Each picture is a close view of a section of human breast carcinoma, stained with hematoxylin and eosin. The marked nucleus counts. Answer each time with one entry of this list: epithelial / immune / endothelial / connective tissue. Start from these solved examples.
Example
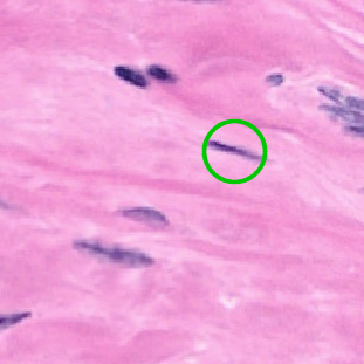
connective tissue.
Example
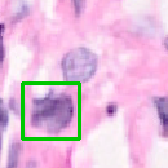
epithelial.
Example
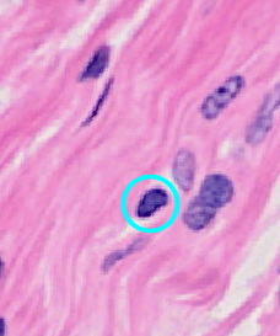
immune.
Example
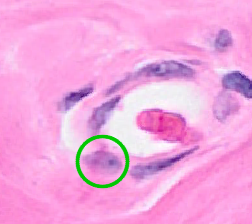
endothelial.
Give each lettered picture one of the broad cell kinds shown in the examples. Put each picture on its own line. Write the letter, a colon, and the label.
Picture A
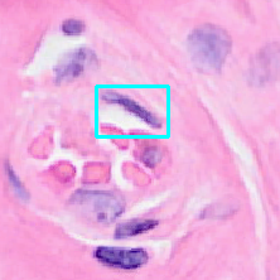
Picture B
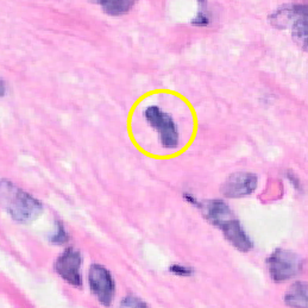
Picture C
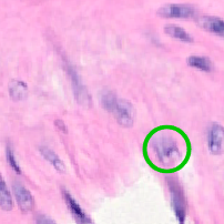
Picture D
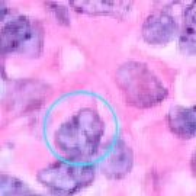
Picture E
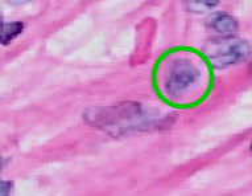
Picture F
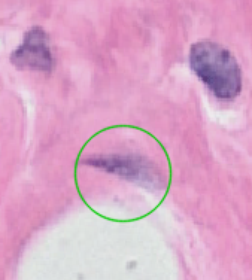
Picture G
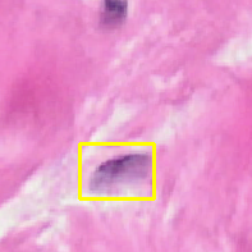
A: endothelial.
B: immune.
C: endothelial.
D: epithelial.
E: endothelial.
F: connective tissue.
G: connective tissue.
